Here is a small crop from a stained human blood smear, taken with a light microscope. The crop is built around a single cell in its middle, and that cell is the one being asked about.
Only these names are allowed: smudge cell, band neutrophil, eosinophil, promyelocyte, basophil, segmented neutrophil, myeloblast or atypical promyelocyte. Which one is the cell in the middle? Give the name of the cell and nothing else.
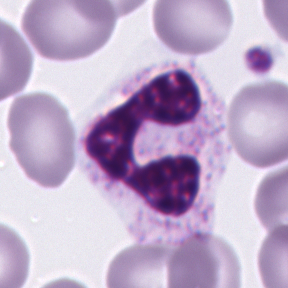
segmented neutrophil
